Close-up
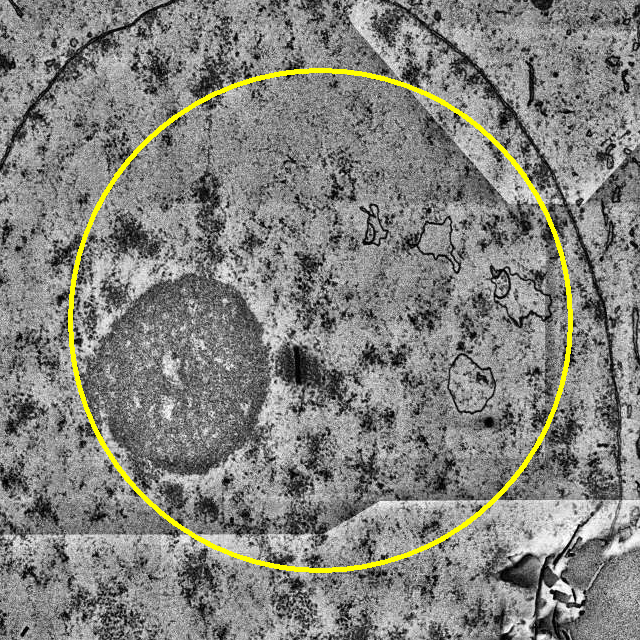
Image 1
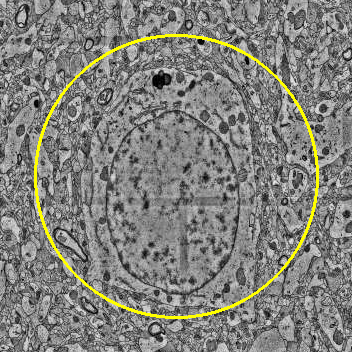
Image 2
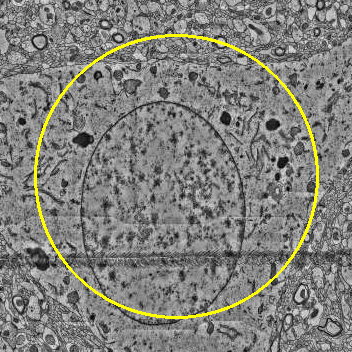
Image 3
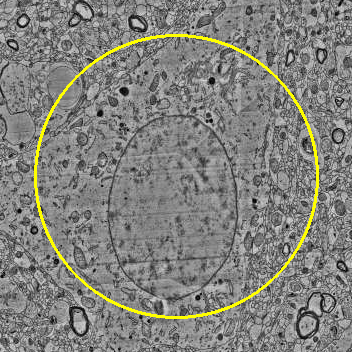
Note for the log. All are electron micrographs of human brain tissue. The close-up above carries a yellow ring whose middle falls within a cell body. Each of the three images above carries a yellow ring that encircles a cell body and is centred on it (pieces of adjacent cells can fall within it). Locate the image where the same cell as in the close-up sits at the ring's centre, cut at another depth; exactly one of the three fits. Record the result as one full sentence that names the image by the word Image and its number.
The cell chosen for the close-up is marked in Image 2.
